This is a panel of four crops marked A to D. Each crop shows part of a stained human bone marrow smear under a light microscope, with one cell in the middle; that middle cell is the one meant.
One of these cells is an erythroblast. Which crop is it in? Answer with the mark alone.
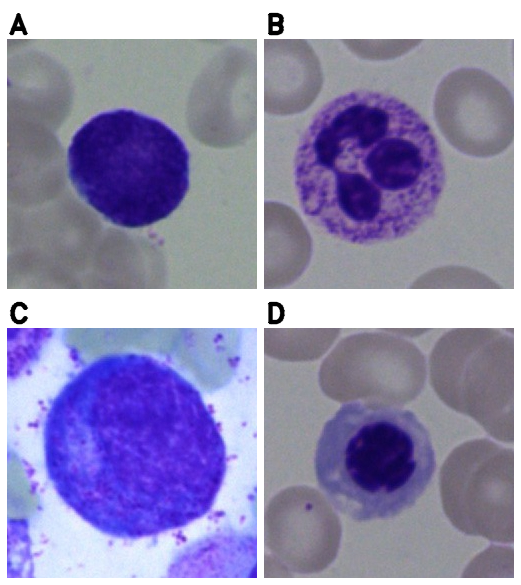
D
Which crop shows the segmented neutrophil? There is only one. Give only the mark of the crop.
B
